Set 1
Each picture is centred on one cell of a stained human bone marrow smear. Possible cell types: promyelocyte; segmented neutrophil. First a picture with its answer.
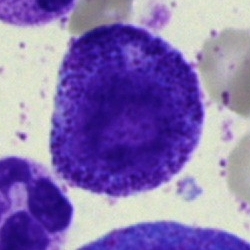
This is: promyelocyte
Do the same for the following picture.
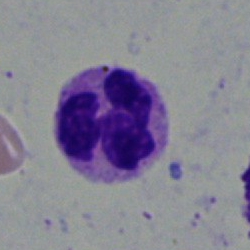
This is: segmented neutrophil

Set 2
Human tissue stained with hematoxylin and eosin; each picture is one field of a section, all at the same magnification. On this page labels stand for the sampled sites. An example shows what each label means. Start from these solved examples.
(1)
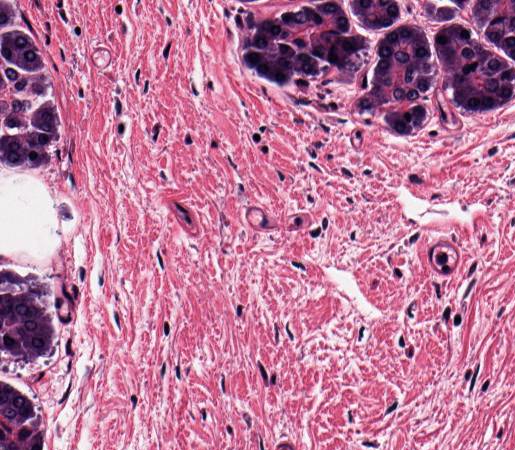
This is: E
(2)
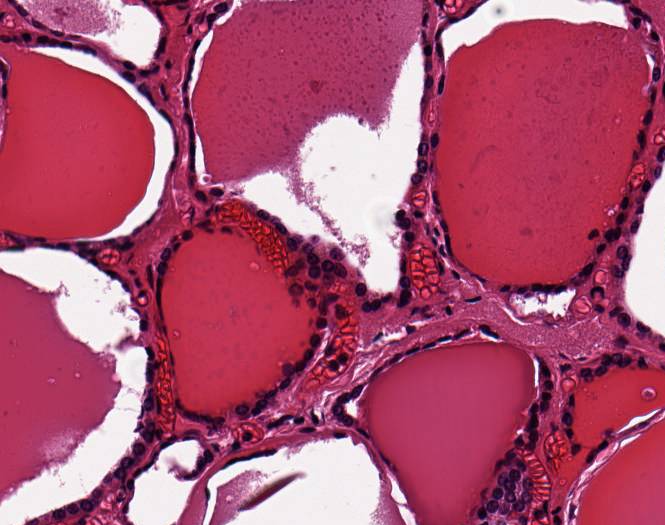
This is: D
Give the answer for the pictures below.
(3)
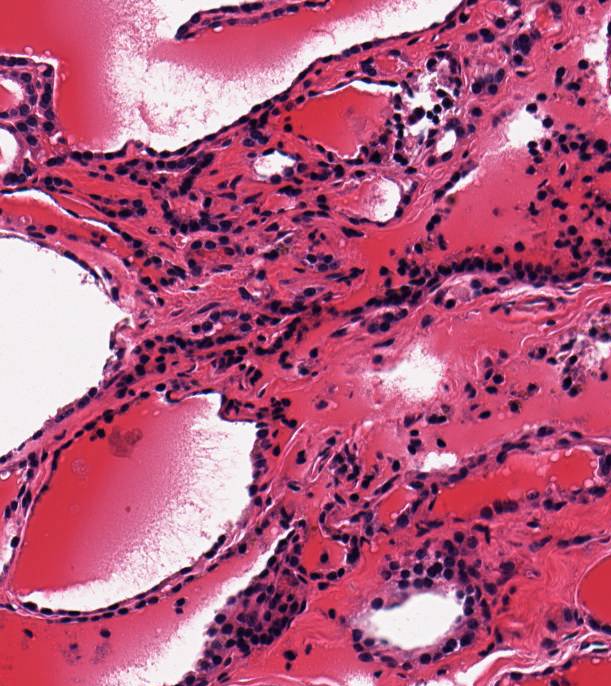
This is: D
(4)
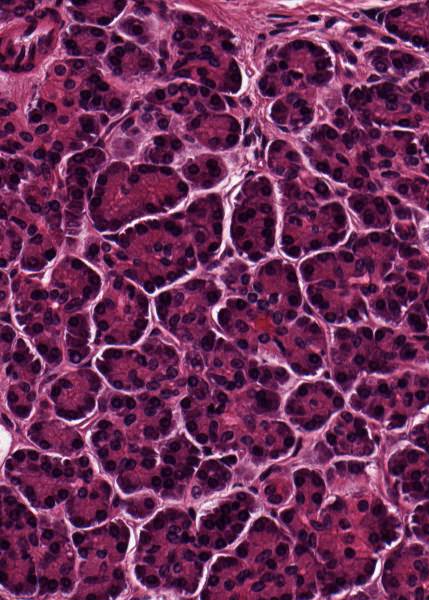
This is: E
